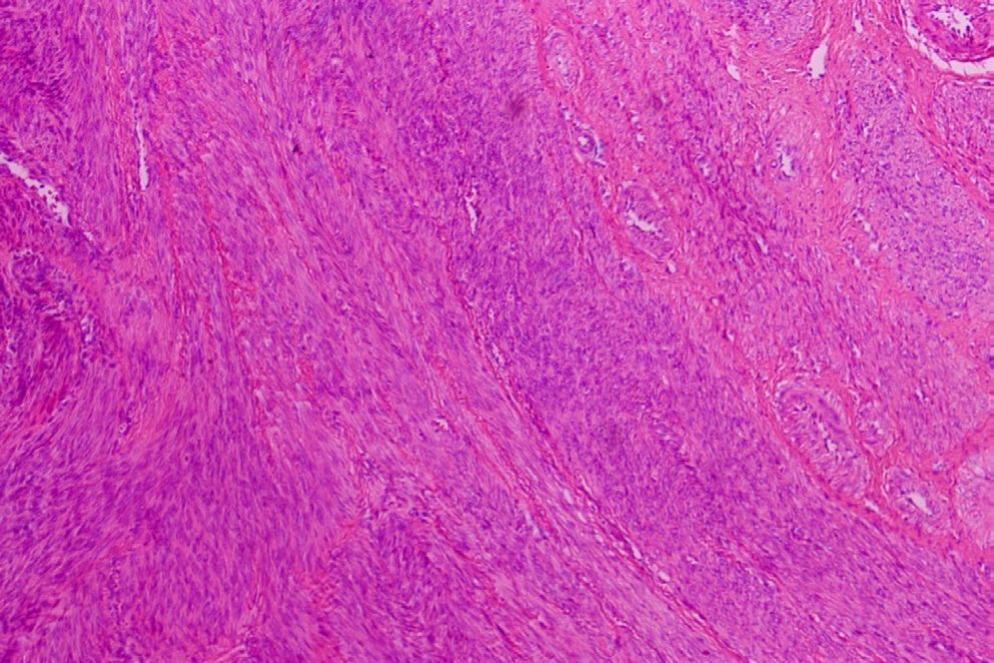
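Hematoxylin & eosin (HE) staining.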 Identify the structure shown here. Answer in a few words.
Woven pattern.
